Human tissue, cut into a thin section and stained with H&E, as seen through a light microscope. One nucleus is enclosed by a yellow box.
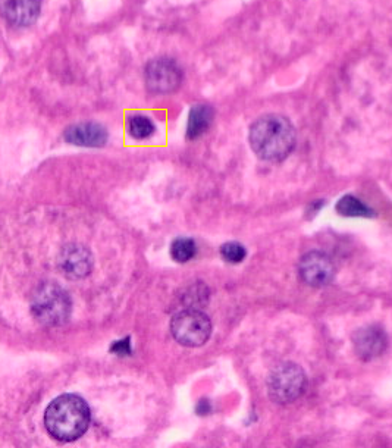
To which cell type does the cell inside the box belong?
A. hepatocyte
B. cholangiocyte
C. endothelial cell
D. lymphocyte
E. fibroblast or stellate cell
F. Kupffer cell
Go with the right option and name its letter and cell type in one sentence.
Looking at the options, pick D; the cell inside the box is a lymphocyte.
